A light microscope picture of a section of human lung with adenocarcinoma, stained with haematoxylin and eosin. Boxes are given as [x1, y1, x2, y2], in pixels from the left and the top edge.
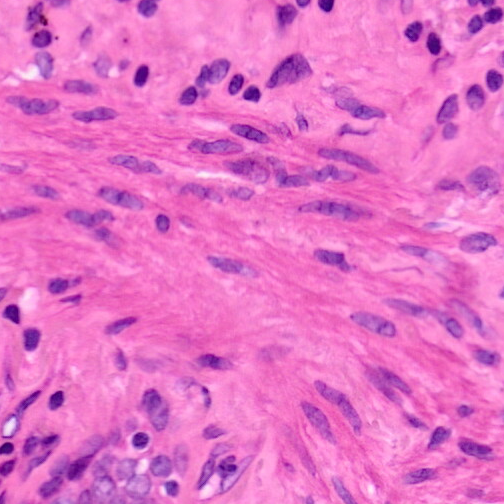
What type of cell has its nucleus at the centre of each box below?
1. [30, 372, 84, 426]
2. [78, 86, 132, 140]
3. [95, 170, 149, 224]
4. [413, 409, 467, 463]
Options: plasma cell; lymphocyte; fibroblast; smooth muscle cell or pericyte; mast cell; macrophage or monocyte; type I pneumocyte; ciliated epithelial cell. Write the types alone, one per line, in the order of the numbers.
lymphocyte
smooth muscle cell or pericyte
smooth muscle cell or pericyte
smooth muscle cell or pericyte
